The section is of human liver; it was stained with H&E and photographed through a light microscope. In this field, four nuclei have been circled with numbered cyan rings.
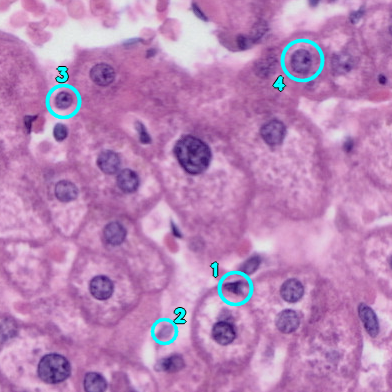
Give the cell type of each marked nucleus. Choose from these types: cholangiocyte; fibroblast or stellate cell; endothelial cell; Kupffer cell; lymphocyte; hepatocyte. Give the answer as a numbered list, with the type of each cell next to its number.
1. fibroblast or stellate cell
2. Kupffer cell
3. lymphocyte
4. hepatocyte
